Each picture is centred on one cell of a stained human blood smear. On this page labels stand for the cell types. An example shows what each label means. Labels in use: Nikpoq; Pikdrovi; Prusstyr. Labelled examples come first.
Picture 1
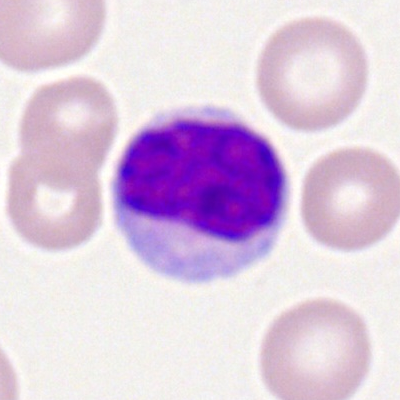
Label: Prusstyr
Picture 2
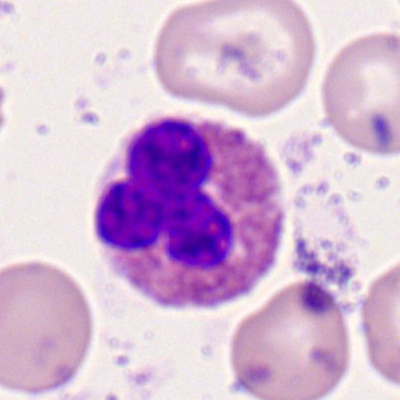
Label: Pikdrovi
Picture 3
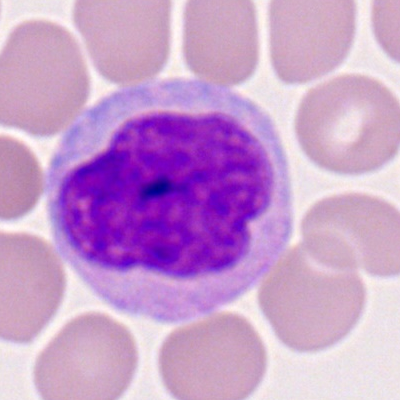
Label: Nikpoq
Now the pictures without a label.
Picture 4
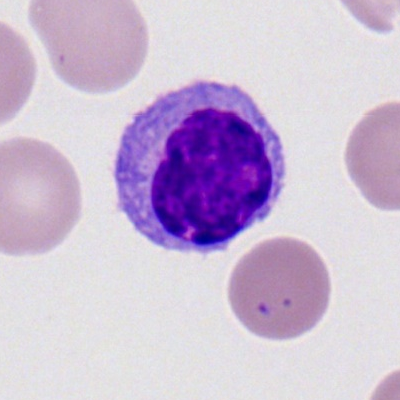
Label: Prusstyr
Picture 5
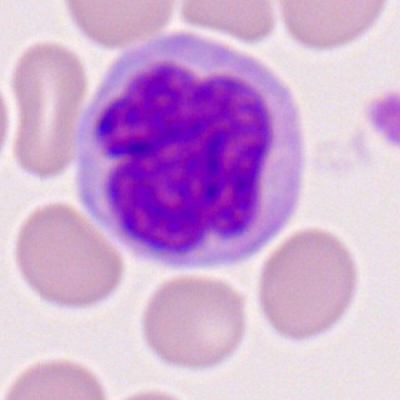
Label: Nikpoq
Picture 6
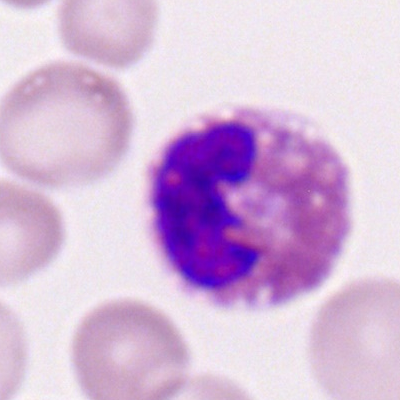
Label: Pikdrovi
